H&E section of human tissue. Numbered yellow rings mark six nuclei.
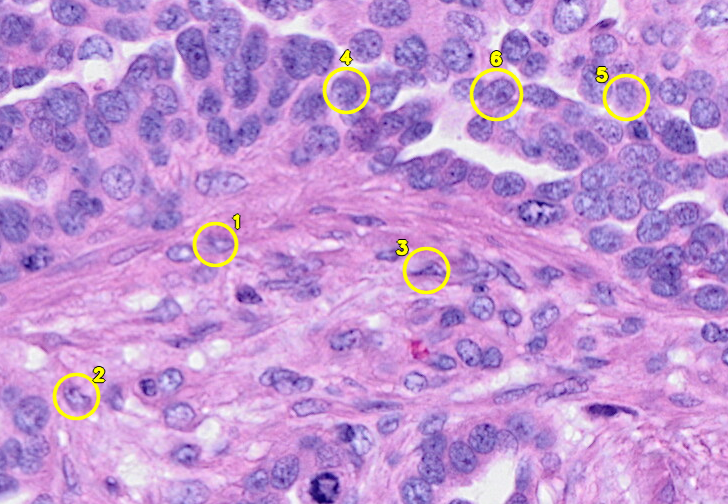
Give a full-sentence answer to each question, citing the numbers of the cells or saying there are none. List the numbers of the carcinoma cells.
The cells numbered 4, 5 and 6 are of the kind known as carcinoma cells.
